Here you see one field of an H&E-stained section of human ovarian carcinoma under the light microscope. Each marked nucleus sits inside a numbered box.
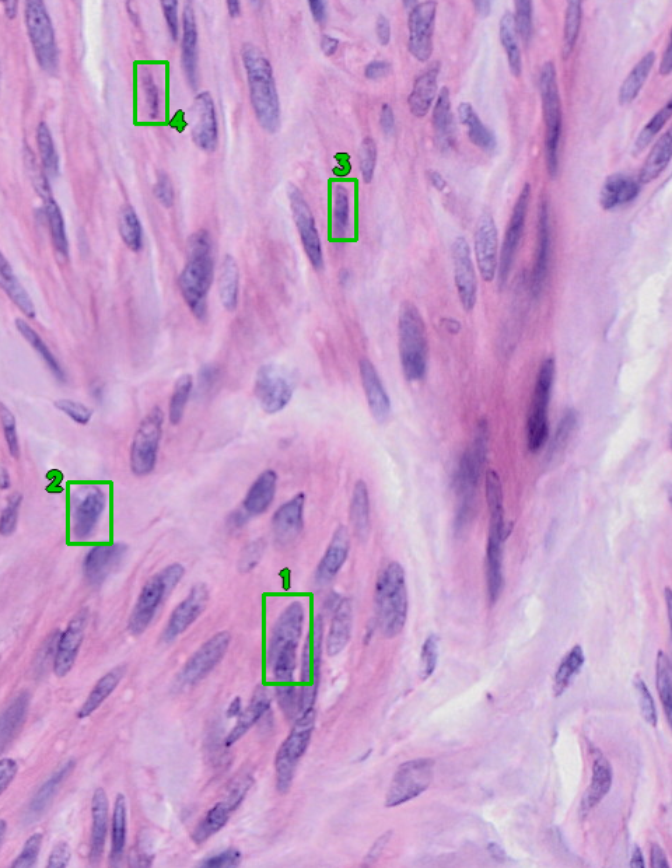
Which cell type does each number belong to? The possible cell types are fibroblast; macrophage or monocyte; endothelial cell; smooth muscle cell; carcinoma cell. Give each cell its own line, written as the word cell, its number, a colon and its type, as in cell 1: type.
cell 1: smooth muscle cell
cell 2: fibroblast
cell 3: smooth muscle cell
cell 4: smooth muscle cell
